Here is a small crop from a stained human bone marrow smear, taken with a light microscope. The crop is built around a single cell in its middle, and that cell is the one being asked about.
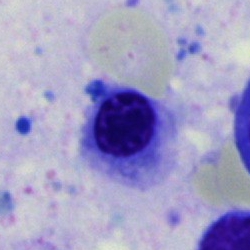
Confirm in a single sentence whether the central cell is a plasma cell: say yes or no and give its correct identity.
No, the centrally placed cell is an erythroblast, not a plasma cell.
